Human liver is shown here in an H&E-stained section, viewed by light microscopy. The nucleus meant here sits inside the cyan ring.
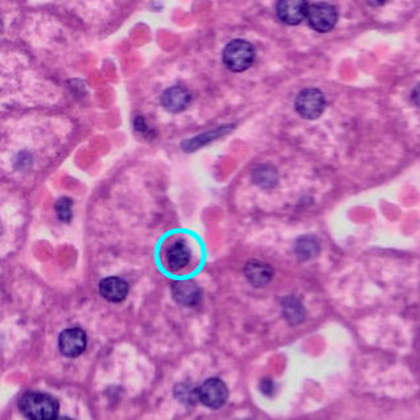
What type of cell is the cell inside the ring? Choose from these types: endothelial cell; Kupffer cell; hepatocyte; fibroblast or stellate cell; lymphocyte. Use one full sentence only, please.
What the cell inside the ring represents is a fibroblast or stellate cell.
